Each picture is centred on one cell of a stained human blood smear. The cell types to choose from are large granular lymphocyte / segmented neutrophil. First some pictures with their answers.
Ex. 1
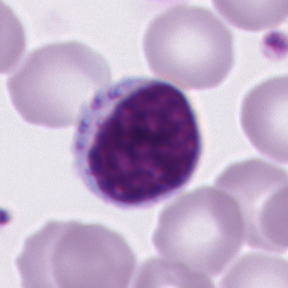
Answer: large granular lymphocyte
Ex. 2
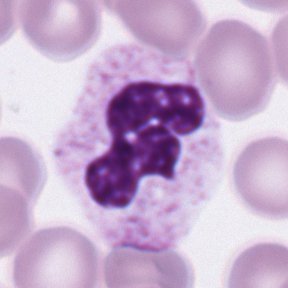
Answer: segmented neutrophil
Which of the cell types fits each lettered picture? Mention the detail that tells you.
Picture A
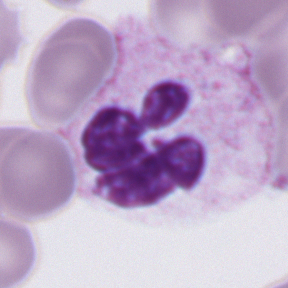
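segmented neutrophil. Evidence: The cytoplasm is plentiful and pale pinkish-lilac.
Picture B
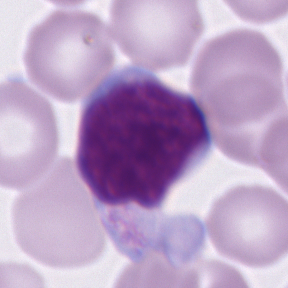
large granular lymphocyte. Evidence: The nucleus fills most of the cell.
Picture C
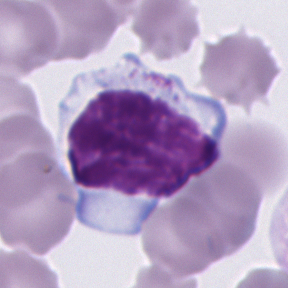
large granular lymphocyte. Evidence: The nucleus is a single unlobed mass that fills most of the cell.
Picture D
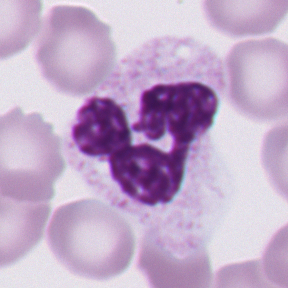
segmented neutrophil. Evidence: The cytoplasm is plentiful and very pale pinkish-lilac.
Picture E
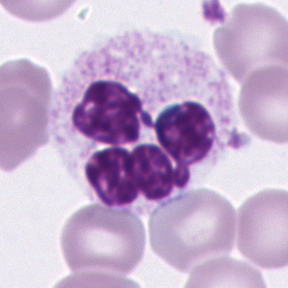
segmented neutrophil. Evidence: The cytoplasm is very pale and fills a wide area around the lobes.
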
